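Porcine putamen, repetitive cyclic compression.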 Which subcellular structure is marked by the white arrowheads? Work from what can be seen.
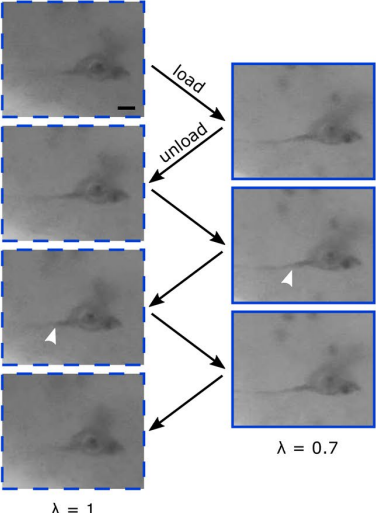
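A thin dark process extends to the left from the cell body. The arrowheads sit on this thin process, away from the cell body.
Hence: neurites.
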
